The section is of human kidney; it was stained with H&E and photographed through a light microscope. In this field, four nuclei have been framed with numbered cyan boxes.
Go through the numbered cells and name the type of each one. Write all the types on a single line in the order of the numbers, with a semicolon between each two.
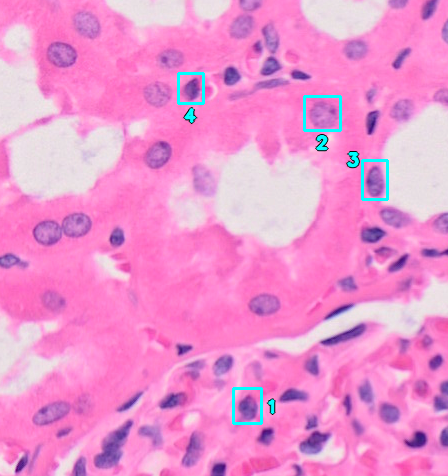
endothelial cell; proximal tubule cell; loop of Henle or distal tubule cell; endothelial cell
